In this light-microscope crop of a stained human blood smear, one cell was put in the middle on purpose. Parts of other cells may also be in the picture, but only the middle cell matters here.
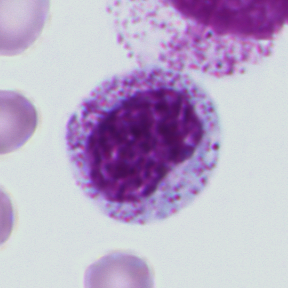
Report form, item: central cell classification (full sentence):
The cell of interest, in the center, is a metamyelocyte.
